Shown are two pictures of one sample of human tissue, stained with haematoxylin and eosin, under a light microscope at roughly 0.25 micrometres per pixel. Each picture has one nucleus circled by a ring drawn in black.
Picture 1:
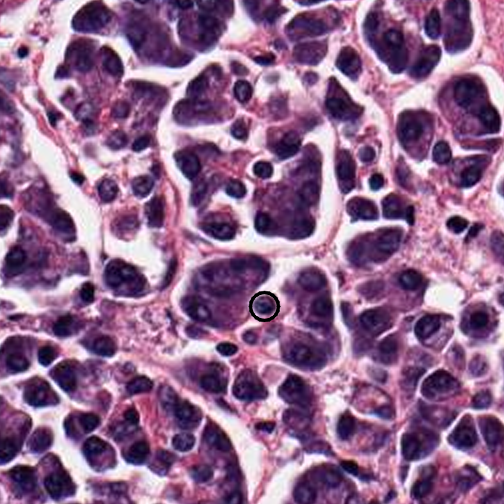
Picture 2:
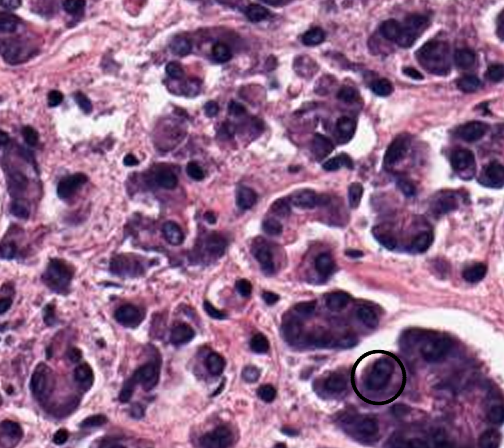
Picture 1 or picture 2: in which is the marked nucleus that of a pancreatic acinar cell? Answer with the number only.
2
